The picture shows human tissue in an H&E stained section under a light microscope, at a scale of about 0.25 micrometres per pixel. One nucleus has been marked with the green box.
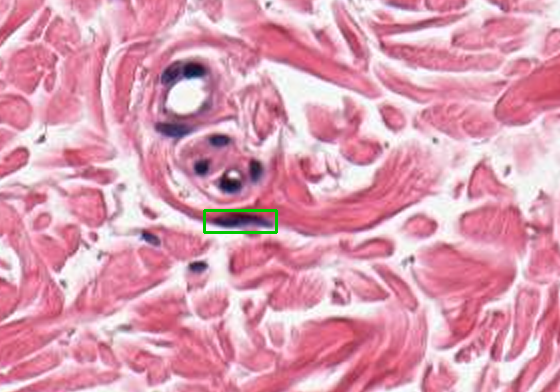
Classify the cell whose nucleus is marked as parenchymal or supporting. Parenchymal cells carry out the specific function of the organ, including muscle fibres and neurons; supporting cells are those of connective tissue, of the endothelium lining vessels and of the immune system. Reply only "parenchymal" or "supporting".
supporting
